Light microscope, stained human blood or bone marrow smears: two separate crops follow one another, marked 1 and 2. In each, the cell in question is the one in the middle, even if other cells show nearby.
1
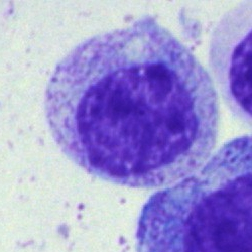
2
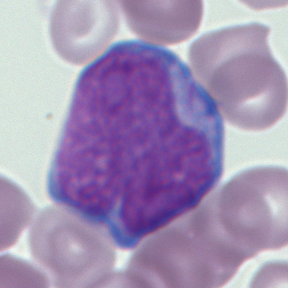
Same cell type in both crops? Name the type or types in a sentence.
No, crop 1 is the one with a myelocyte; crop 2 has a blast.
